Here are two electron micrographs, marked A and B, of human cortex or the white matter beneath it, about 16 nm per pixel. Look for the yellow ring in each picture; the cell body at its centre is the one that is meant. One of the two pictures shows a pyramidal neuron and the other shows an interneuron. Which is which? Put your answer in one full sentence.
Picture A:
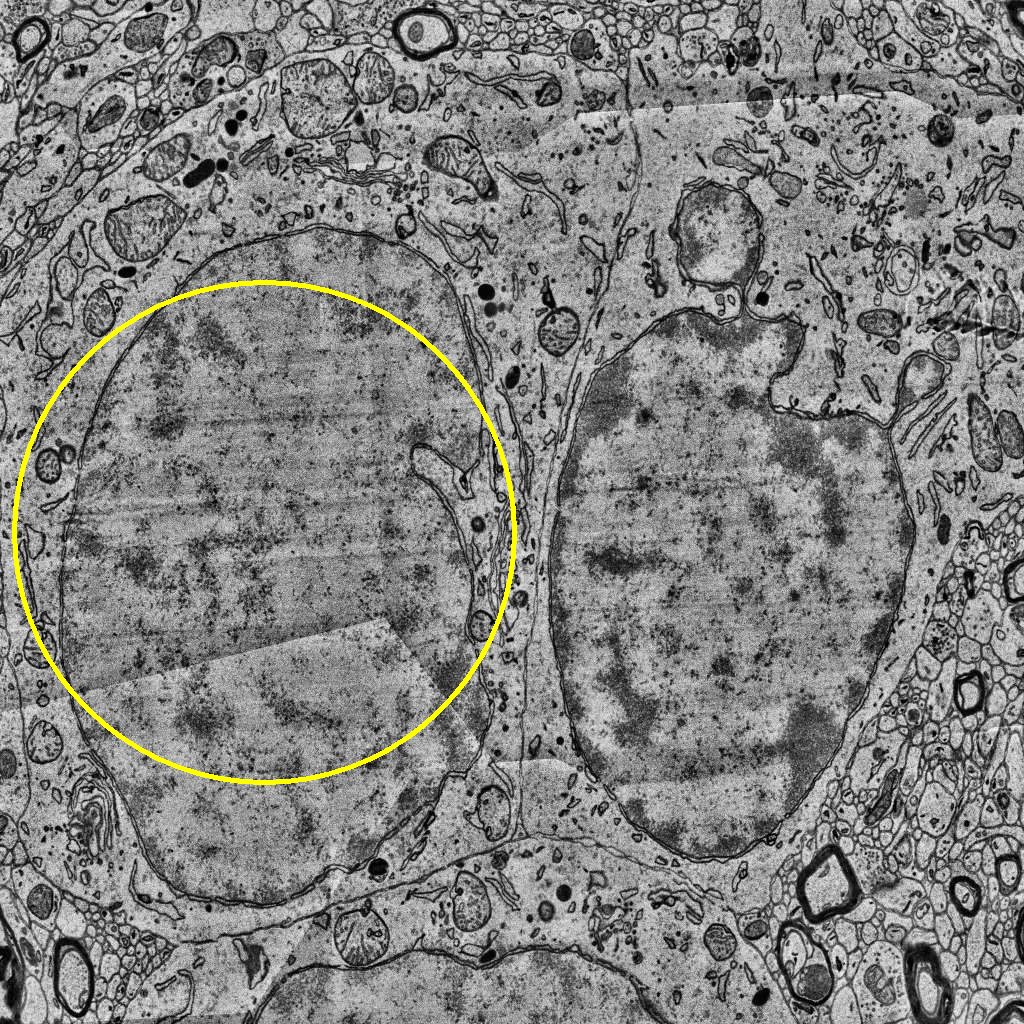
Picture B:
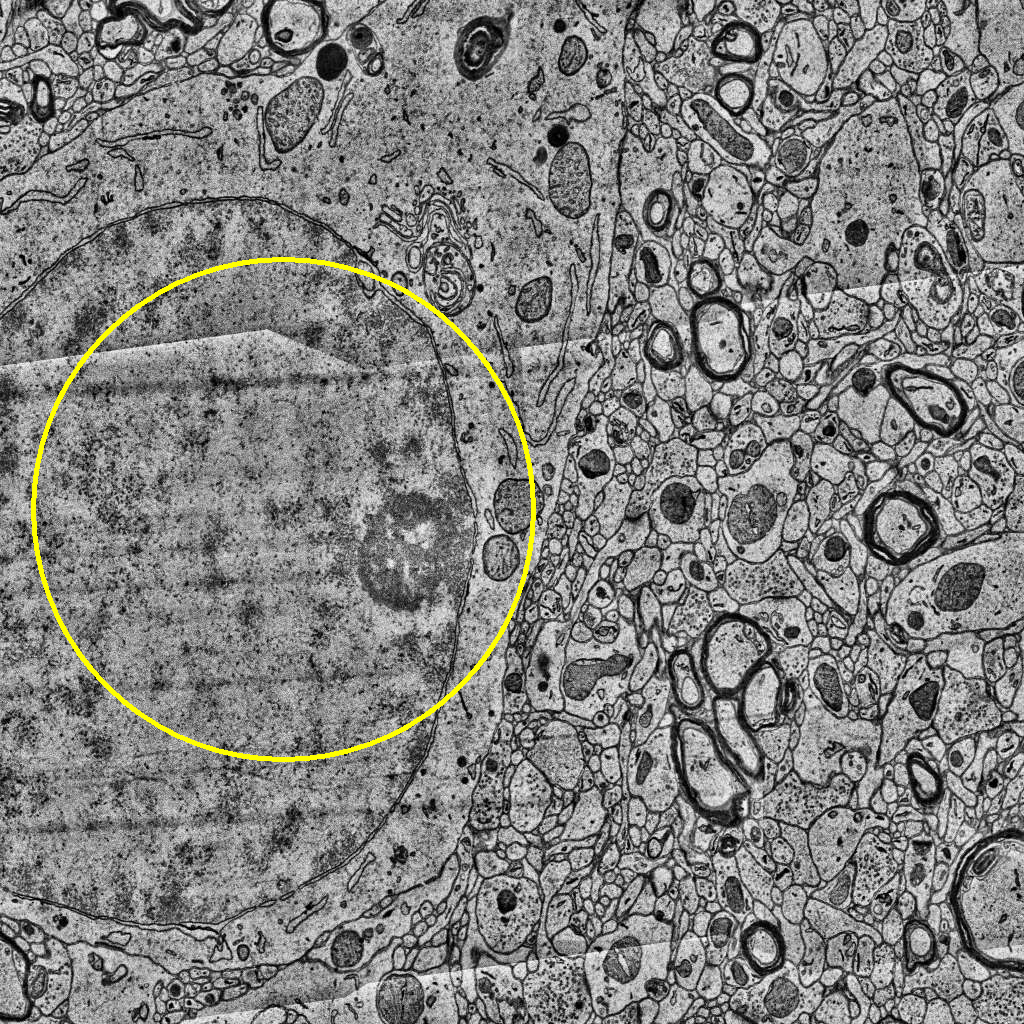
Picture B shows an interneuron, while picture A shows a pyramidal neuron.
